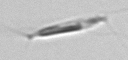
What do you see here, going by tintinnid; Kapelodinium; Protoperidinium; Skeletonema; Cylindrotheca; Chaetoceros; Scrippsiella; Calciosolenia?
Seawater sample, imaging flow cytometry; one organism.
I see Calciosolenia.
